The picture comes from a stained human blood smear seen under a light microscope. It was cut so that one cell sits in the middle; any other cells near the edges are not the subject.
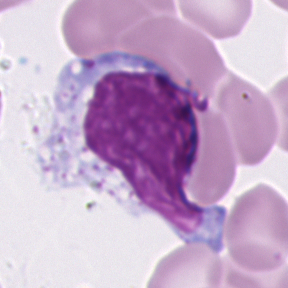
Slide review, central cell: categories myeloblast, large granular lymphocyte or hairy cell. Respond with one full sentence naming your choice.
The cell centred in this crop is categorized as a large granular lymphocyte.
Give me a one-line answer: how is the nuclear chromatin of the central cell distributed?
Answer: the chromatin is fine and has no coarse clumps.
